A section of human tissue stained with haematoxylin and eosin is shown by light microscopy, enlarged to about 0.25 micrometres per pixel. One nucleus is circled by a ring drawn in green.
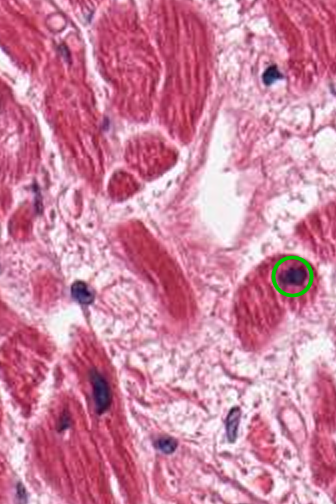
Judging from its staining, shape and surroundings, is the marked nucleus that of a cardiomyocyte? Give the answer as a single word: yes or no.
yes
